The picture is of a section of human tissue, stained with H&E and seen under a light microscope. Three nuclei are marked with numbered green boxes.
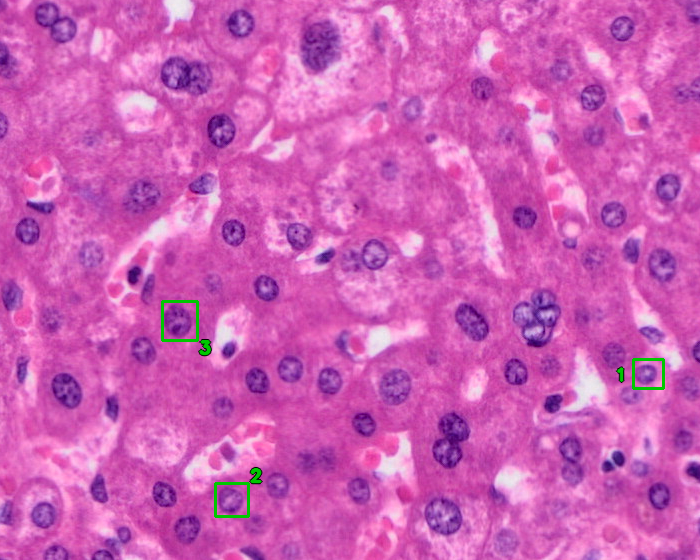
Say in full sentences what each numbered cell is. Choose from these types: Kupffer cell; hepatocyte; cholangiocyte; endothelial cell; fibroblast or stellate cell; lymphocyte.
Cell 1 is a cholangiocyte, cell 2 is a hepatocyte and cell 3 is a hepatocyte.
